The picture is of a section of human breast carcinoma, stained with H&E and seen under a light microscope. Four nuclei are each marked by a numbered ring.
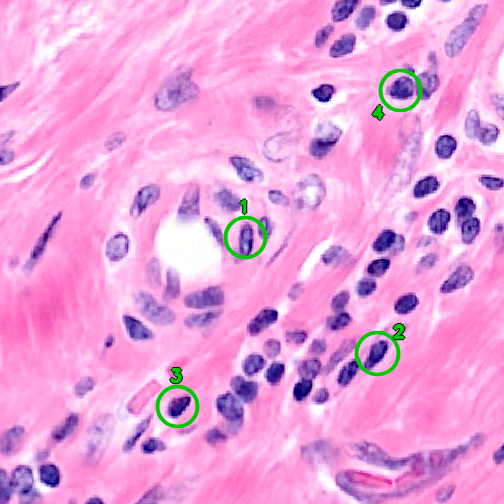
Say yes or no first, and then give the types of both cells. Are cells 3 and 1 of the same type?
No, while cell 3 is a lymphocyte, cell 1 is an endothelial cell.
